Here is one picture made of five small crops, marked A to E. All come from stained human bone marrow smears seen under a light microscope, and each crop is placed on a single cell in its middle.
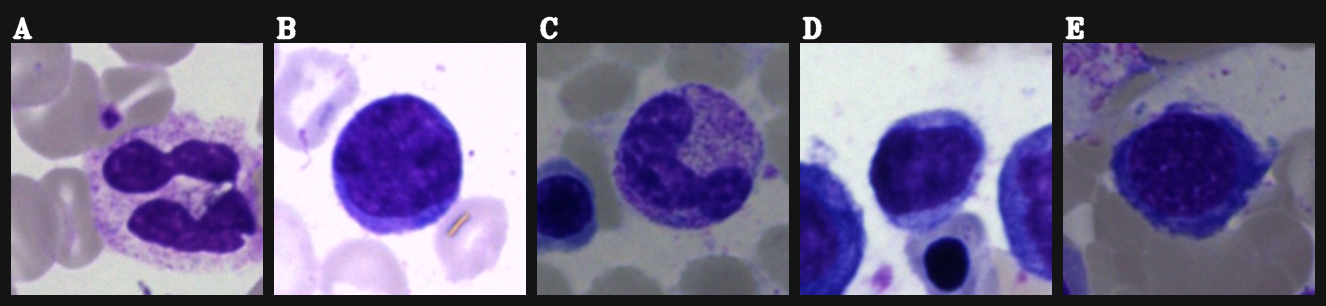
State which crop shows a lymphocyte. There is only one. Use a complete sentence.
It is in crop D that a lymphocyte is shown.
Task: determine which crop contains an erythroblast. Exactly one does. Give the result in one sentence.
Crop E is the one depicting an erythroblast.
